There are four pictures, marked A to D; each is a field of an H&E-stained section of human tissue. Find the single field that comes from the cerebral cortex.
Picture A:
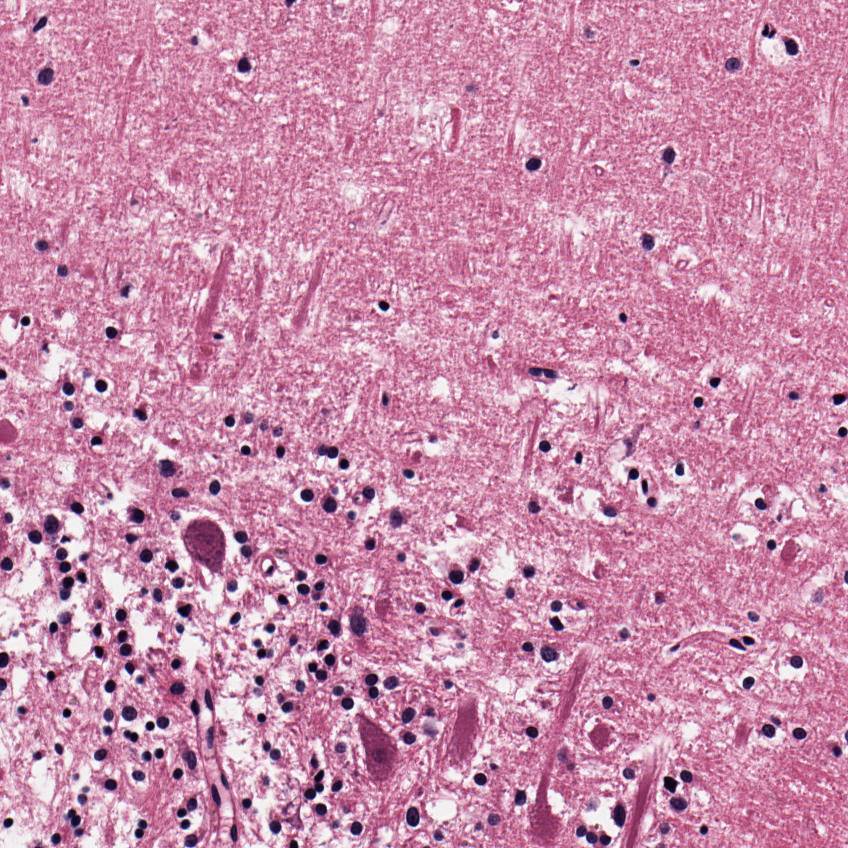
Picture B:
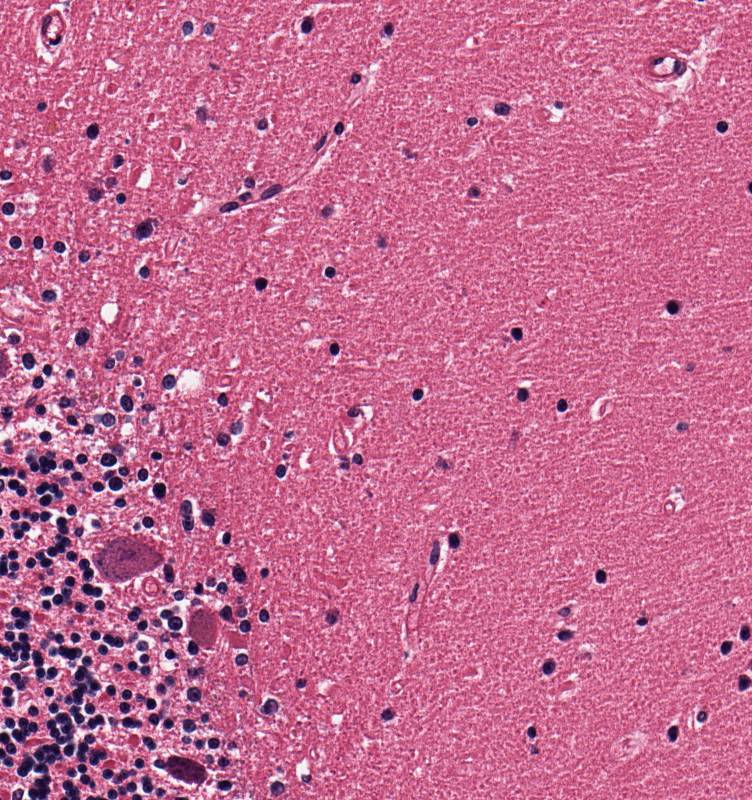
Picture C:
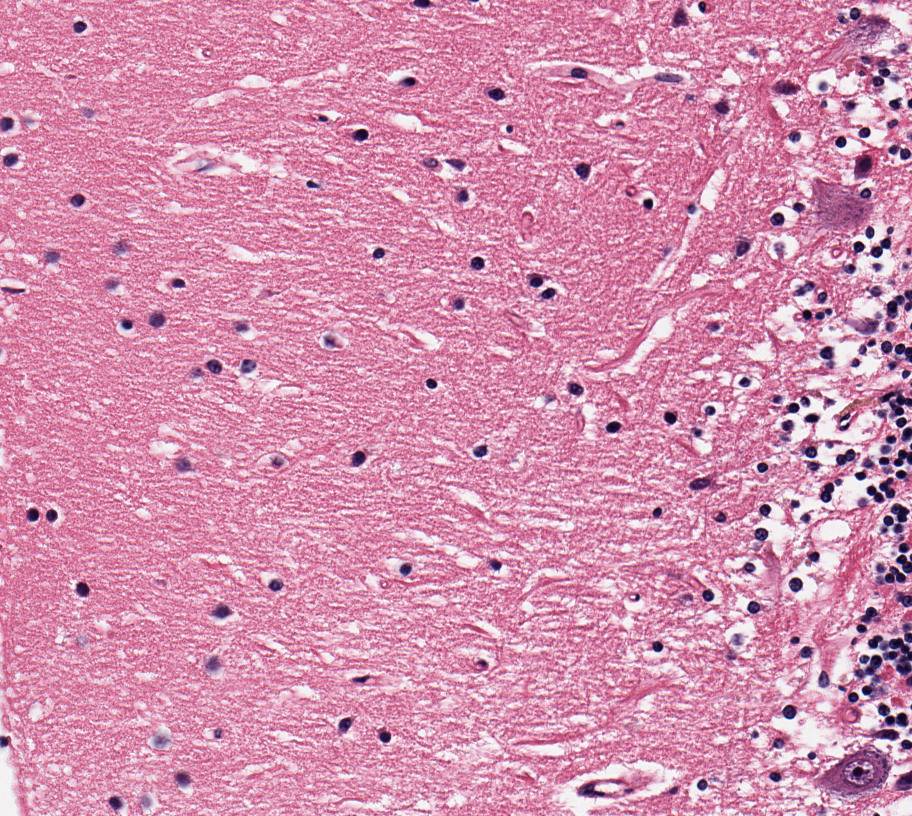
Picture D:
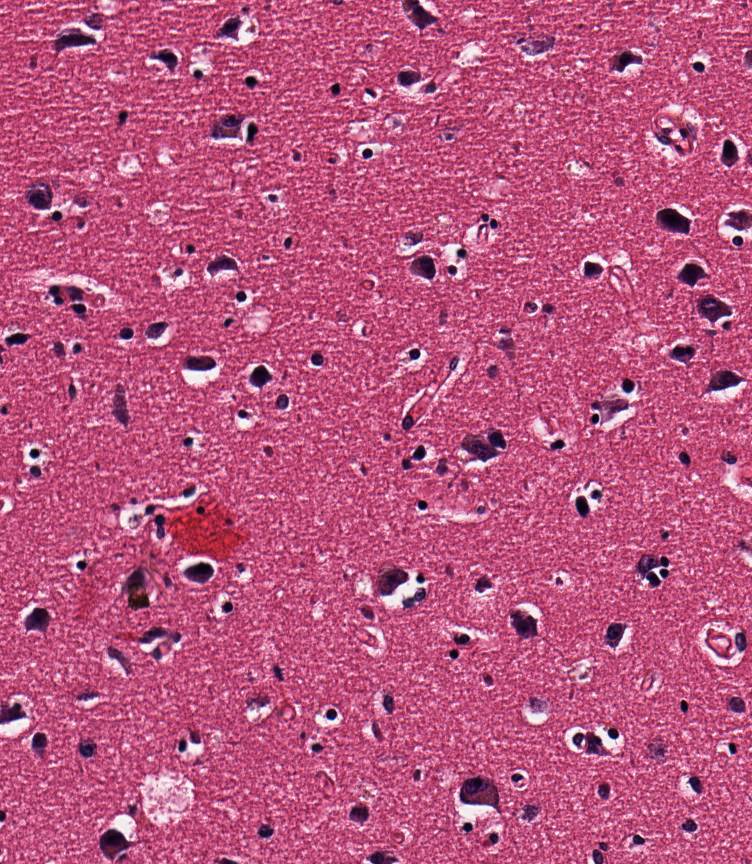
D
